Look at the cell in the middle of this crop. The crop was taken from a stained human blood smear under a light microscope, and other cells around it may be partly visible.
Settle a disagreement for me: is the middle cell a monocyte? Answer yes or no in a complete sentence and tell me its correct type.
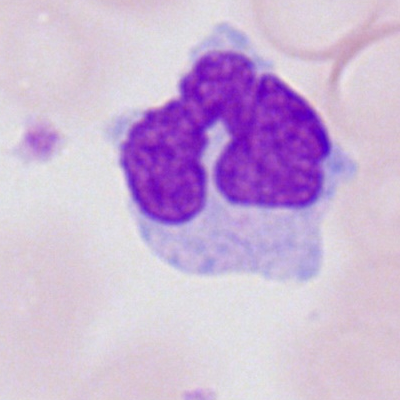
Yes, the cell under consideration, the one in the middle, is a monocyte.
